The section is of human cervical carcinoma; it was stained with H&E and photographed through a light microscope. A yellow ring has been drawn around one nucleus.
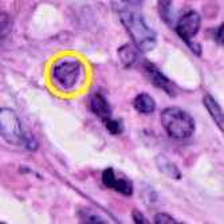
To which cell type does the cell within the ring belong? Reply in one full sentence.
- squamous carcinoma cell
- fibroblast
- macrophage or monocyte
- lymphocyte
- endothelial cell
Labelled by cell type, the cell within the ring is a macrophage or monocyte.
